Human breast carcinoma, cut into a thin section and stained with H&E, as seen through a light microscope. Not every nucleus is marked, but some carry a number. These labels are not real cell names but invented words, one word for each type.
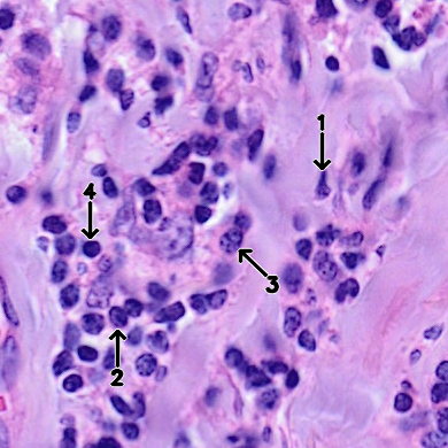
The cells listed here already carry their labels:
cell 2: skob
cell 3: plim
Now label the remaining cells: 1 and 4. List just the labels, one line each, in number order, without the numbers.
skob
skob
